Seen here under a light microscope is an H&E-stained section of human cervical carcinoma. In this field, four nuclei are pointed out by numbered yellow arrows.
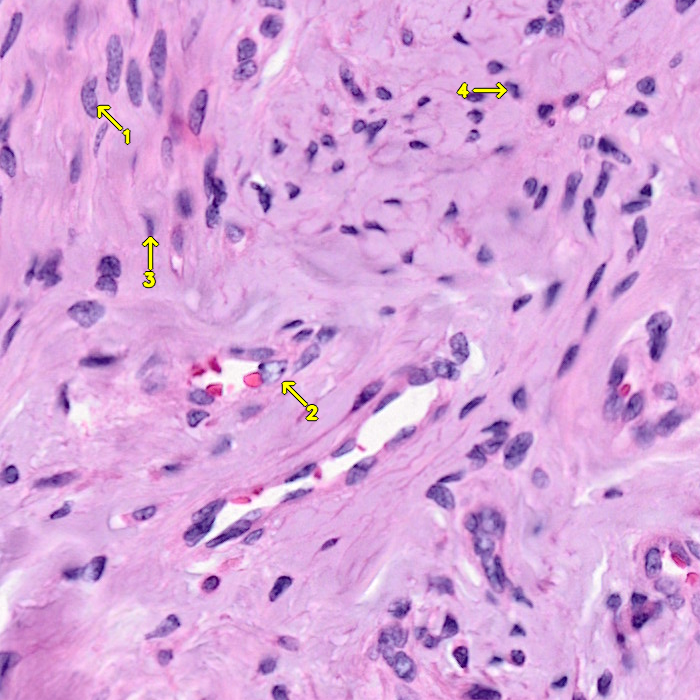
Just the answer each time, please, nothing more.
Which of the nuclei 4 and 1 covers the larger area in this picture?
1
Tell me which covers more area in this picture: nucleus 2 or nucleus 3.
2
